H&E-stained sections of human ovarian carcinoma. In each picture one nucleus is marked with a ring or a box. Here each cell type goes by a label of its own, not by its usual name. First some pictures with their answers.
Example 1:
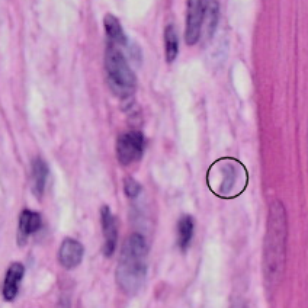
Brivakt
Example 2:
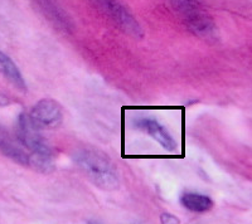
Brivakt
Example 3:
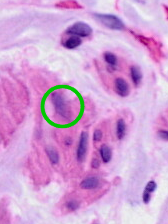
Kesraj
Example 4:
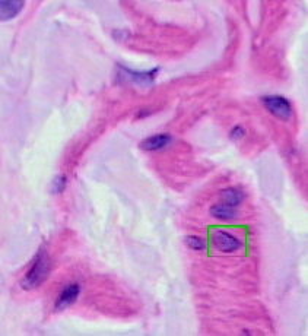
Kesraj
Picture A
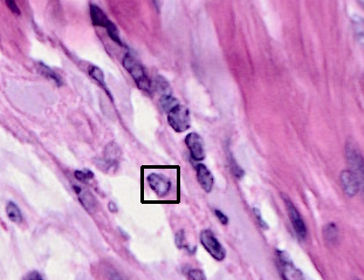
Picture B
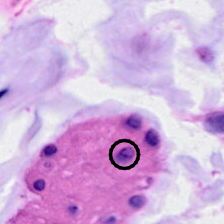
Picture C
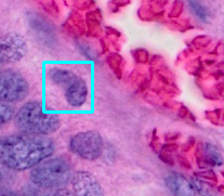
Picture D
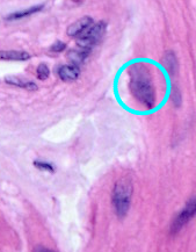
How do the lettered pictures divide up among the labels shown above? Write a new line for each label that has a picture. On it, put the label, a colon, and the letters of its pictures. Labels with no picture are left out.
Brivakt: A, C
Kesraj: B, D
